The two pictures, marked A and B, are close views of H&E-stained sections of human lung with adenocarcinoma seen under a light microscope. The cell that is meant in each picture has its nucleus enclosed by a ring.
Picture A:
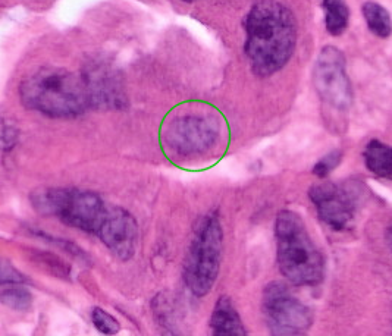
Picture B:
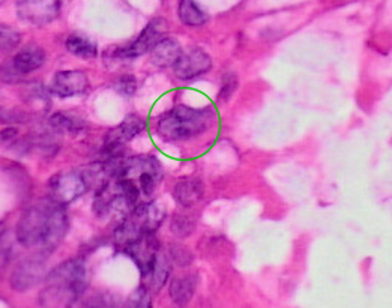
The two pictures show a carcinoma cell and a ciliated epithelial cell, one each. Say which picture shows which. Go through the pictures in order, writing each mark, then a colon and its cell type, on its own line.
A: carcinoma cell
B: ciliated epithelial cell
